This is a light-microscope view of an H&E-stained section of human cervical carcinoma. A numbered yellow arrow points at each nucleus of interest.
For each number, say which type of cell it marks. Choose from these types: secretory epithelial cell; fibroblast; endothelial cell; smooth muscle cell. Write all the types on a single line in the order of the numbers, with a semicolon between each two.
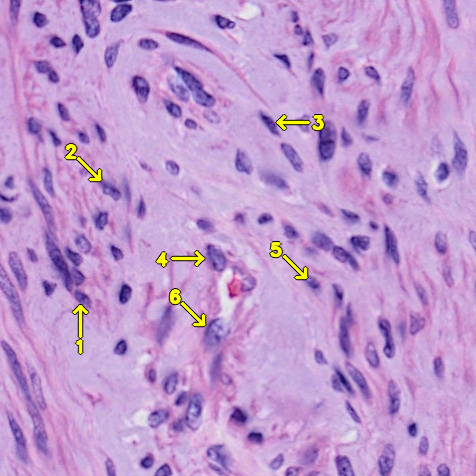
smooth muscle cell; smooth muscle cell; fibroblast; endothelial cell; smooth muscle cell; endothelial cell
